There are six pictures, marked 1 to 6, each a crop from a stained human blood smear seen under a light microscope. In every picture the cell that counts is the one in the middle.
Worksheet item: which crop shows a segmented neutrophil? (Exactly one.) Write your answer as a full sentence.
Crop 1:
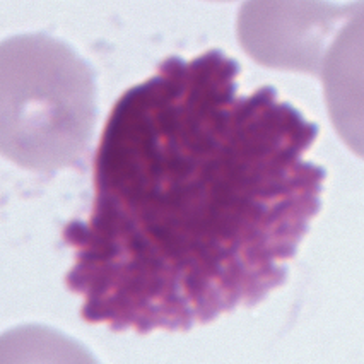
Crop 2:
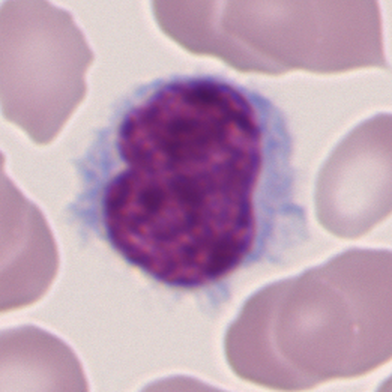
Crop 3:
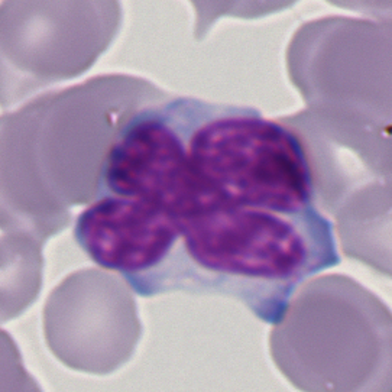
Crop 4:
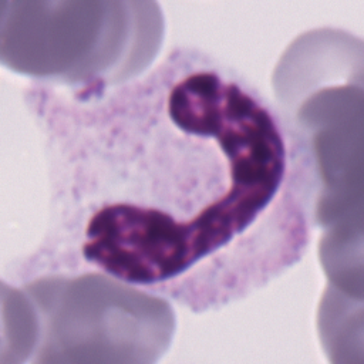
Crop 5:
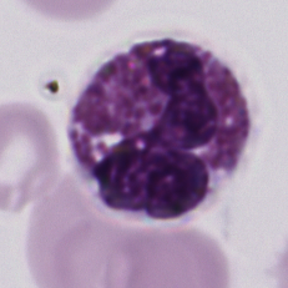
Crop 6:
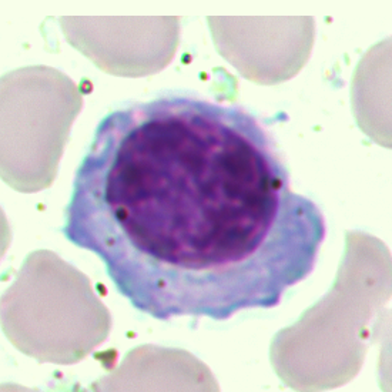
It is in crop 4 that a segmented neutrophil is shown.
